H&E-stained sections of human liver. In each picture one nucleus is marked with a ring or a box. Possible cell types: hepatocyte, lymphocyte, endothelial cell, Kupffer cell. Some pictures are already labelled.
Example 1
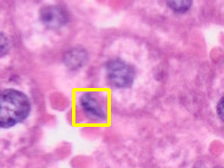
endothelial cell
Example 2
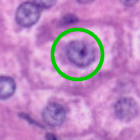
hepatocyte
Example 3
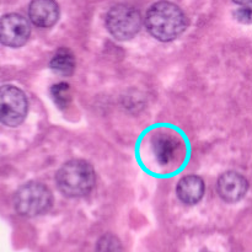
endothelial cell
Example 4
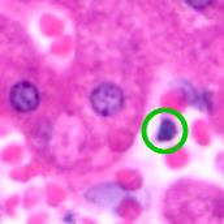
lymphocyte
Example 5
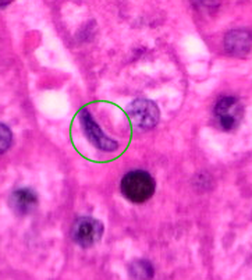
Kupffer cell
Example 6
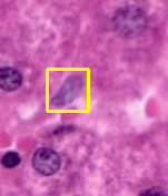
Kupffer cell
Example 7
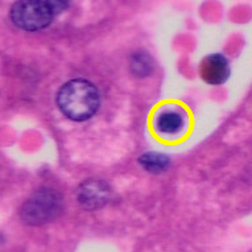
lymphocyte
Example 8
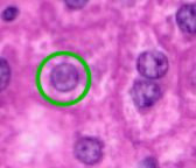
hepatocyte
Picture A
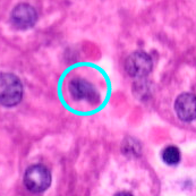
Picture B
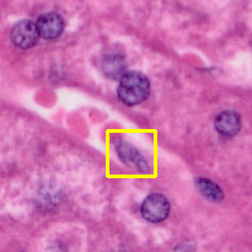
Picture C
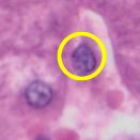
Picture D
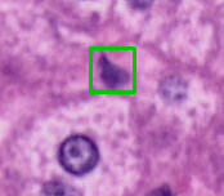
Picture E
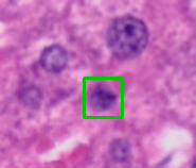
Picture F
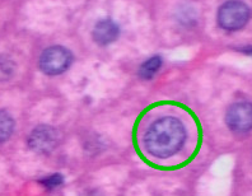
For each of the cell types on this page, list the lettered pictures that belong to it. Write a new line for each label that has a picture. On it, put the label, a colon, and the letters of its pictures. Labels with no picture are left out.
hepatocyte: F
endothelial cell: A, D, E
Kupffer cell: B, C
